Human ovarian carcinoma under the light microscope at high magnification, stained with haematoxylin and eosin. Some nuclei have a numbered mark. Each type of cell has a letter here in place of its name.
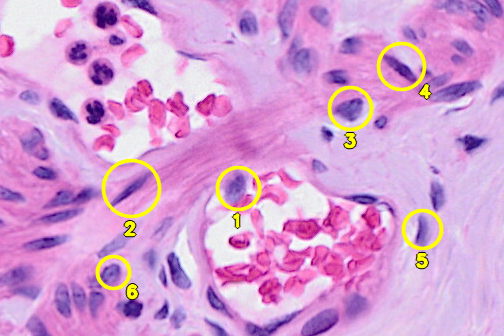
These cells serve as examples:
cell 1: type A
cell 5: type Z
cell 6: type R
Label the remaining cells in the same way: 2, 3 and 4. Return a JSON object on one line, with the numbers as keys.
{"2": "type R", "3": "type R", "4": "type R"}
